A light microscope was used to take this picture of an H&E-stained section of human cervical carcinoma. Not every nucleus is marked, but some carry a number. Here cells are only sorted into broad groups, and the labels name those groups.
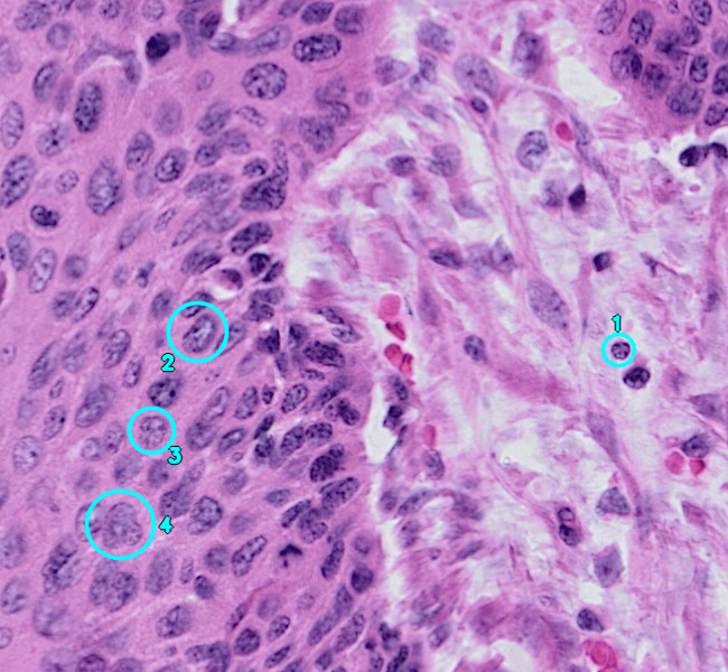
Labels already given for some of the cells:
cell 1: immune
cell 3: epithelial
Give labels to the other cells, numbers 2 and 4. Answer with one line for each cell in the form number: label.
2: epithelial
4: epithelial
